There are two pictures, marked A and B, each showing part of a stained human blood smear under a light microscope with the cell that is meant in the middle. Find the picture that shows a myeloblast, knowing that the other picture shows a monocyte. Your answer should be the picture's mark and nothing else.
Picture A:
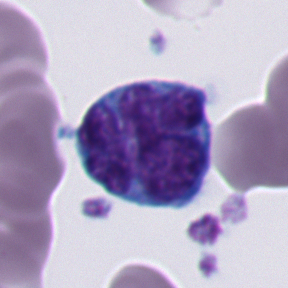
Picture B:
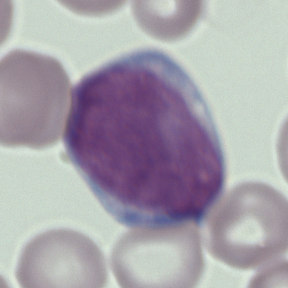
B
